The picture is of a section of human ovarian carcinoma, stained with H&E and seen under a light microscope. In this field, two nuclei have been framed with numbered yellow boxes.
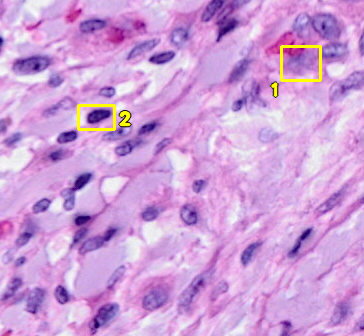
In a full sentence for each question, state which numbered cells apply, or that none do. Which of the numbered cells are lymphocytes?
Across all the numbered cells, only number 2 is a lymphocyte.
